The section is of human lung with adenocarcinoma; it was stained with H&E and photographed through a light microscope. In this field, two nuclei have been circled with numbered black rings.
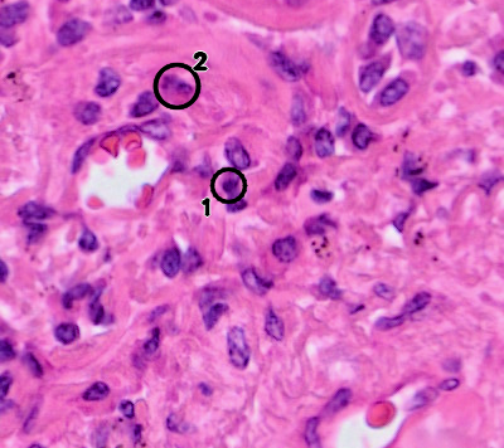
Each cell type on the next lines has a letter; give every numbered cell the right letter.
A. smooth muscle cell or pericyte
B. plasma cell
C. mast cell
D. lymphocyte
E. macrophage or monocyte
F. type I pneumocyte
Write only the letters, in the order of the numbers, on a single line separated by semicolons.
D; B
